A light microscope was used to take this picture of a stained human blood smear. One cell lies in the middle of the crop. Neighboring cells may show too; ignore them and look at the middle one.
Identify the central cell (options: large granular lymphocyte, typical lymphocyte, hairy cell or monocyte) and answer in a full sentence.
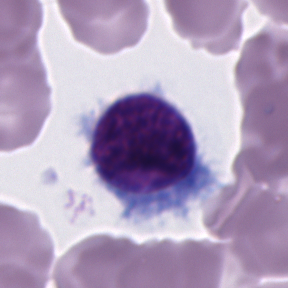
Answering briefly, the cell in the middle is a hairy cell.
